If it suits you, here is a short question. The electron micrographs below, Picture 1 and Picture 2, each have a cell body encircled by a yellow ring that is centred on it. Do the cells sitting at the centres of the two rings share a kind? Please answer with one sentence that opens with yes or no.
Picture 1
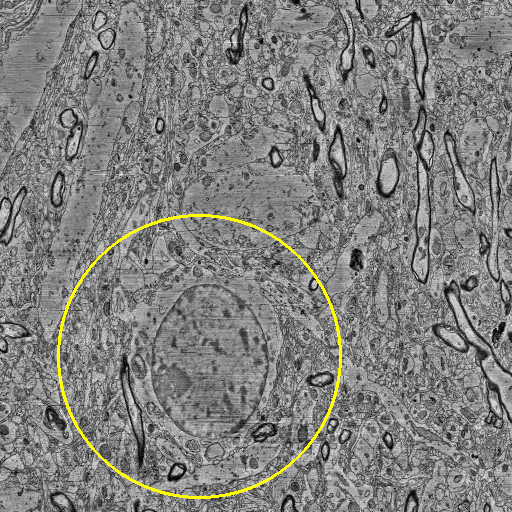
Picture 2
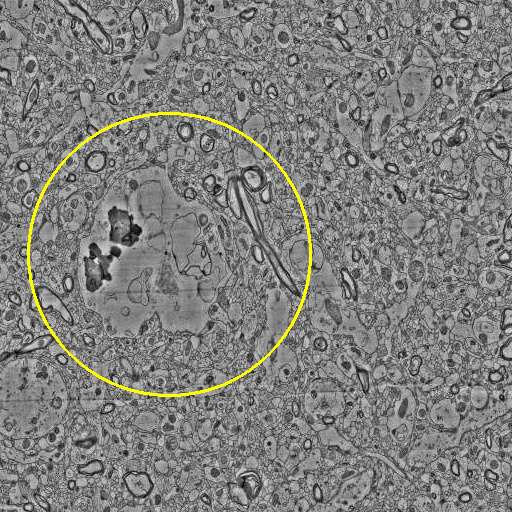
Yes, the two cells sitting at the ring centres share a single kind.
